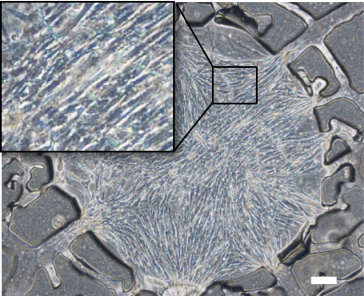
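The cells are unstained and appear pale against a darker background, with thin tapering ends. They line up side by side in parallel bundles that stream across the chamber in sweeping directions. At the rim of the chamber the bundles converge toward openings in the surrounding framework. The chamber is bordered by an irregular network of polygonal, channel-like walls.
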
